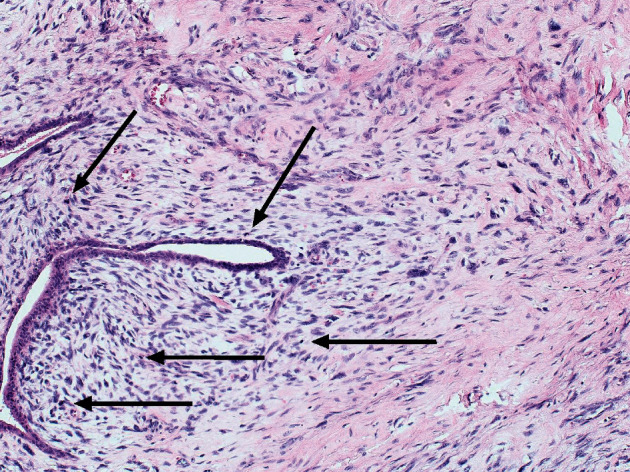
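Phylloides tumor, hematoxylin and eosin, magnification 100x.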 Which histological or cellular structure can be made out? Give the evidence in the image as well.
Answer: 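Glandular structures. Elongated, slit-like spaces are lined by a layer of dark-staining epithelial cells. These lined spaces are set within a spindle-cell stroma.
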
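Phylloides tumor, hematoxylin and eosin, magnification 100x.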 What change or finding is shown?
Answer: Increased cellularity around the glandular structures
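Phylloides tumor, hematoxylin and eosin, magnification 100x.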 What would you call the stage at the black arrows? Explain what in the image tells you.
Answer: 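The black arrows point to cells in the dense stroma beside the lined channels.
Conclusion: mitotic figures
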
